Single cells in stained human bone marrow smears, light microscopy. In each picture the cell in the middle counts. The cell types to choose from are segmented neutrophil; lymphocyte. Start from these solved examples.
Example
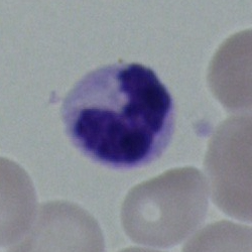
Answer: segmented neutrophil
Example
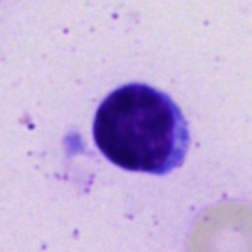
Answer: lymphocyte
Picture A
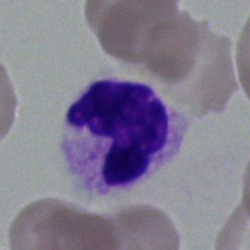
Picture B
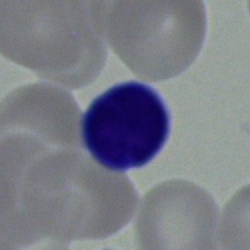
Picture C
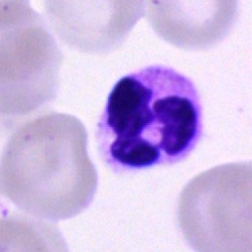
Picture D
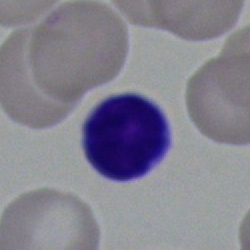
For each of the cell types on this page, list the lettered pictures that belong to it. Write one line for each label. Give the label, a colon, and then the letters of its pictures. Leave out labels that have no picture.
segmented neutrophil: A, C
lymphocyte: B, D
